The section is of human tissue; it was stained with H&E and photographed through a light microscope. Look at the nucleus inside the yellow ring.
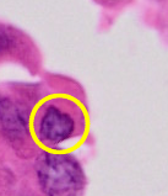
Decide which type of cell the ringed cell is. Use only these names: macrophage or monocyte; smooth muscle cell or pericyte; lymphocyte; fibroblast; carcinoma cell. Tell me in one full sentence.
The cell type of the ringed cell is that of a carcinoma cell.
